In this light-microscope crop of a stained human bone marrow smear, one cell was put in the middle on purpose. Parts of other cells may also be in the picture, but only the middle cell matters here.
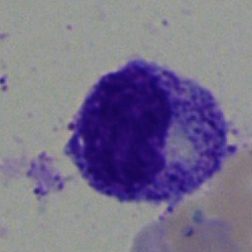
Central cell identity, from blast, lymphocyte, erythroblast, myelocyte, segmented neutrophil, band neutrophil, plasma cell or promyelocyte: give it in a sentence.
Framed in the middle of the crop is a myelocyte.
